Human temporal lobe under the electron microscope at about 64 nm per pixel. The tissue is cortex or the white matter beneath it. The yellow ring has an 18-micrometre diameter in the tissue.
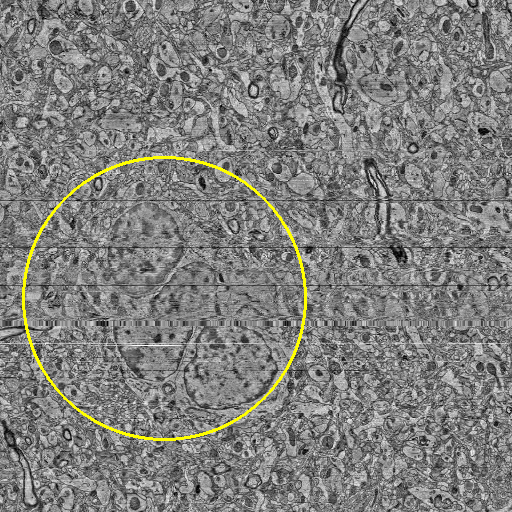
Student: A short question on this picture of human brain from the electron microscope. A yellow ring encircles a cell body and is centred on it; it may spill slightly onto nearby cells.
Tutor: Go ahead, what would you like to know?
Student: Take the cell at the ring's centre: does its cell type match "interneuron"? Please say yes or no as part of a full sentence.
No, the cell found at the ring's centre in the picture has another cell type.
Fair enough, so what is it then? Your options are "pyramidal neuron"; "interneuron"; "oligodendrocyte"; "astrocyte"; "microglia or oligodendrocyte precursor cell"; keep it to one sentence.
Instead, the picture shows a microglial cell or oligodendrocyte precursor cell at the centre of the ring.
